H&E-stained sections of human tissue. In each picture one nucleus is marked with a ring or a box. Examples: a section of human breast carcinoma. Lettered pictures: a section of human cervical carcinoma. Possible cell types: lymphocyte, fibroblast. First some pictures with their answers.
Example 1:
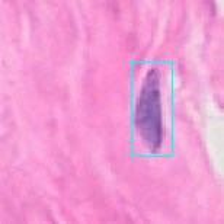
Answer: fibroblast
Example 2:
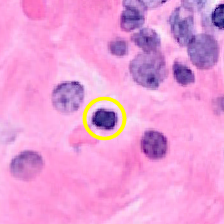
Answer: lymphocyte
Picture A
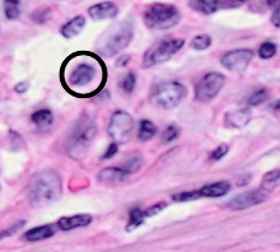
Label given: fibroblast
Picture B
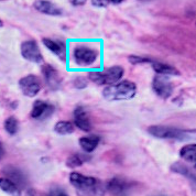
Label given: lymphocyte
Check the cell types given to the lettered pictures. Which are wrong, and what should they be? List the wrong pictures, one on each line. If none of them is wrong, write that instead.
A is labelled fibroblast; correct label: lymphocyte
